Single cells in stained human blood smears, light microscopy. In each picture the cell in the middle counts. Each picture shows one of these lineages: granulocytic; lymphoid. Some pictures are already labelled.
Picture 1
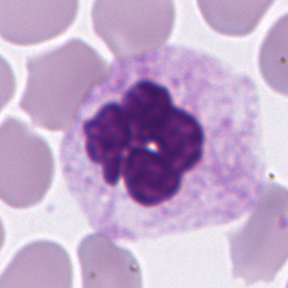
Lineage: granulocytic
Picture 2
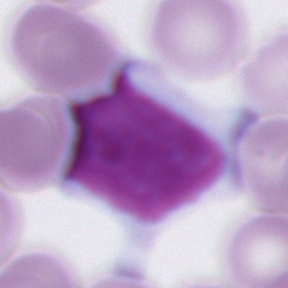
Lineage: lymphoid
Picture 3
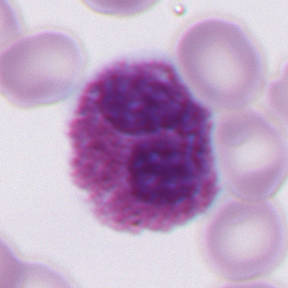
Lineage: granulocytic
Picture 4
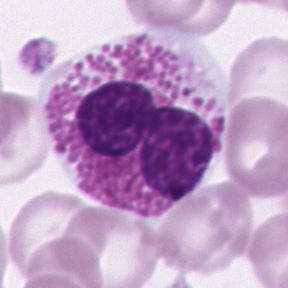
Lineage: granulocytic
